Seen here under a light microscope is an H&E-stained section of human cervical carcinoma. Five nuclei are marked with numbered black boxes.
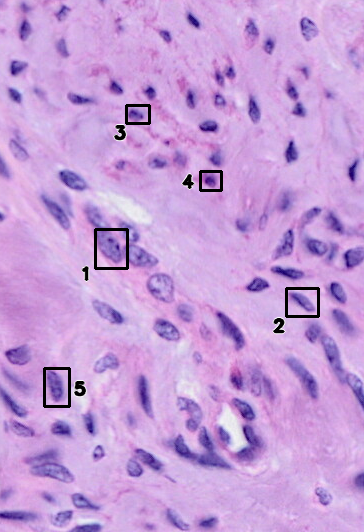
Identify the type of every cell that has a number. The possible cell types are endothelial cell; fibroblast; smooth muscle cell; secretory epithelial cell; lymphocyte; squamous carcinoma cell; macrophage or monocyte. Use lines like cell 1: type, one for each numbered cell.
cell 1: endothelial cell
cell 2: fibroblast
cell 3: smooth muscle cell
cell 4: smooth muscle cell
cell 5: fibroblast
